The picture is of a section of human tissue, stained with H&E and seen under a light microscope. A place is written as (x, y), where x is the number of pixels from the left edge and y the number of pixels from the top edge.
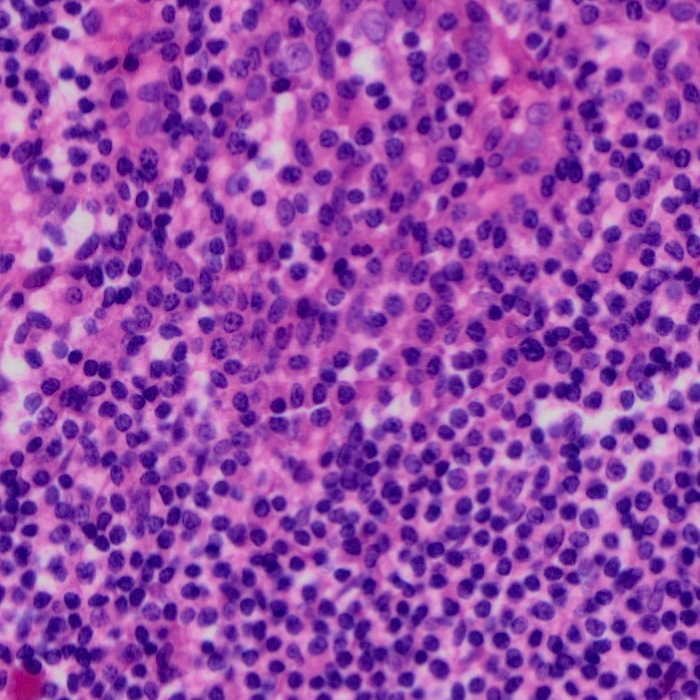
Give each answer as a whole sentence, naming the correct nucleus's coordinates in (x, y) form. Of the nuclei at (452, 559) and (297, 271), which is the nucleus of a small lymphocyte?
The nucleus of a small lymphocyte lies at (452, 559), not at the other position.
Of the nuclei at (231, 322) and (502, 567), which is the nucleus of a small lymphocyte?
The nucleus at (502, 567) is part of a small lymphocyte, while the other is not.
